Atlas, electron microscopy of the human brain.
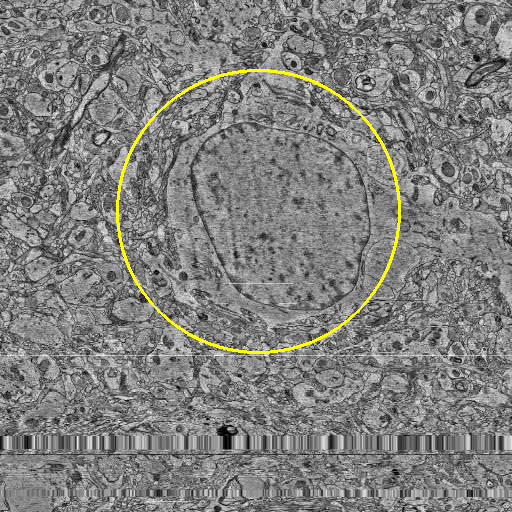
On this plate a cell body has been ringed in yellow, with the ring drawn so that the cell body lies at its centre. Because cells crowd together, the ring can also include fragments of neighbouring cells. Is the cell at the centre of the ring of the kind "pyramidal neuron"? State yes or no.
No, it is of another kind.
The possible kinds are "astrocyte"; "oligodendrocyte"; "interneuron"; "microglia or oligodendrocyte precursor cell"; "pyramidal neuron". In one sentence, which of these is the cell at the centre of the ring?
The ring holds an astrocyte at its centre.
